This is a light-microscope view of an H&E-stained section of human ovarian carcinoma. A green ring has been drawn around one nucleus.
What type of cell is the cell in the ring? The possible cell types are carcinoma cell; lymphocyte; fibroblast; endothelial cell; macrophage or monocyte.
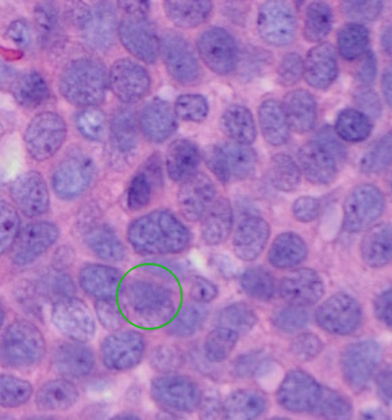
carcinoma cell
